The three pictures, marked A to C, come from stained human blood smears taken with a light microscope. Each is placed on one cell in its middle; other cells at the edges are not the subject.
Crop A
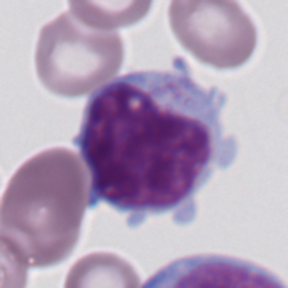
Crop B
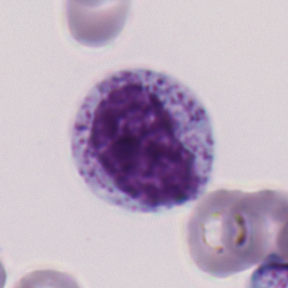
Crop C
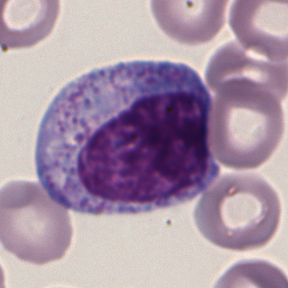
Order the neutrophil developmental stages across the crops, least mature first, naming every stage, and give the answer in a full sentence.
The ordering by maturity, least to greatest, is crop A (a blast), crop C (a promyelocyte) and crop B (a metamyelocyte).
